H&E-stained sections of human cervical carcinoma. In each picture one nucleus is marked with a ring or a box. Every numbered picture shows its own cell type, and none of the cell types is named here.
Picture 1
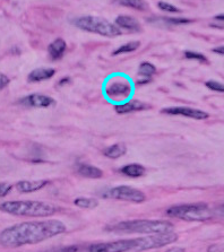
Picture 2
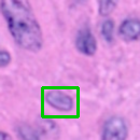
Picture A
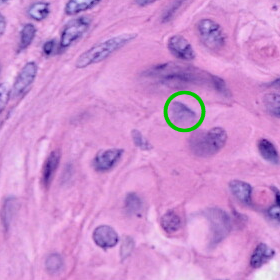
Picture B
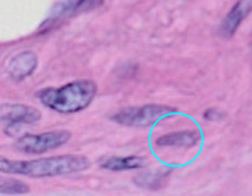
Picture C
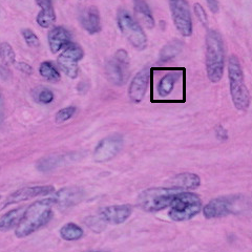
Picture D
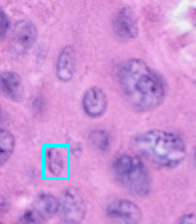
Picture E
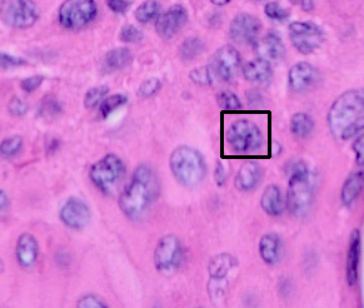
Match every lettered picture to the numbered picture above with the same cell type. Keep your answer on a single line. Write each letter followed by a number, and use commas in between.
A 2, B 1, C 1, D 2, E 2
